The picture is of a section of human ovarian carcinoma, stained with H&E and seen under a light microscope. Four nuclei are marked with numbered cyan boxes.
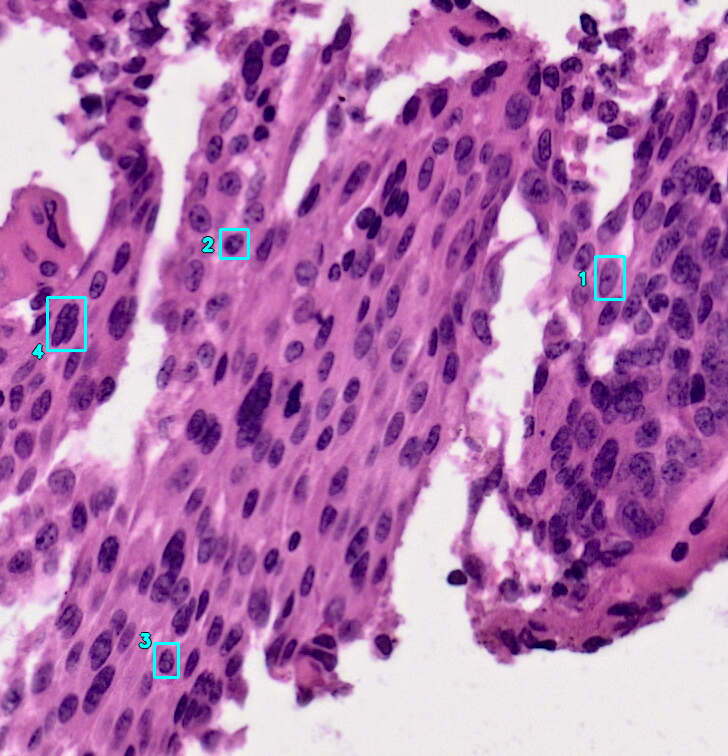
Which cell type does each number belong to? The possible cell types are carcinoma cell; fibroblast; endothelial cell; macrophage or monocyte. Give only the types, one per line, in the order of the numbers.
carcinoma cell
macrophage or monocyte
macrophage or monocyte
carcinoma cell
